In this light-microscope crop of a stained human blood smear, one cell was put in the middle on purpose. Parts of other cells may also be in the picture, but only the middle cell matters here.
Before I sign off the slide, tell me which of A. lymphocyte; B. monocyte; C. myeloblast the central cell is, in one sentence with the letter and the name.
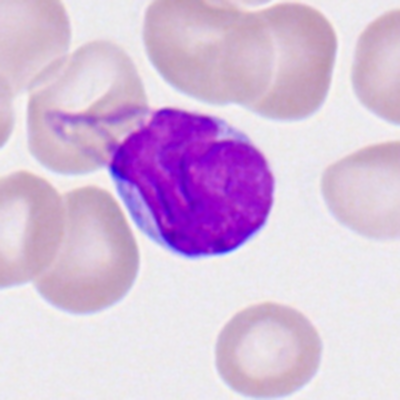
Of the options given, A is correct, the central cell being a lymphocyte.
